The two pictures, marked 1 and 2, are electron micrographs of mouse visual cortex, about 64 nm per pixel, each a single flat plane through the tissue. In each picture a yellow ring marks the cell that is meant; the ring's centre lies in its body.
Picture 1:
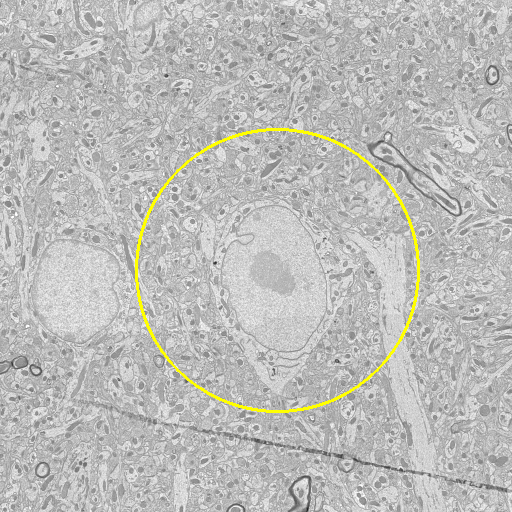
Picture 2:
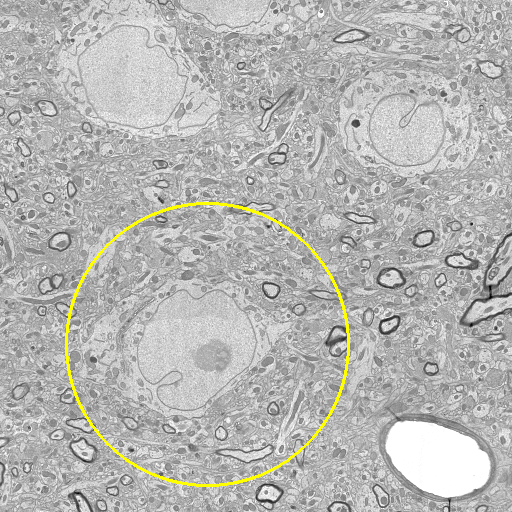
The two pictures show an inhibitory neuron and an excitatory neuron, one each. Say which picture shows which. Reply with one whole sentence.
The cell in picture 1 is an inhibitory neuron, and the one in picture 2 is an excitatory neuron.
